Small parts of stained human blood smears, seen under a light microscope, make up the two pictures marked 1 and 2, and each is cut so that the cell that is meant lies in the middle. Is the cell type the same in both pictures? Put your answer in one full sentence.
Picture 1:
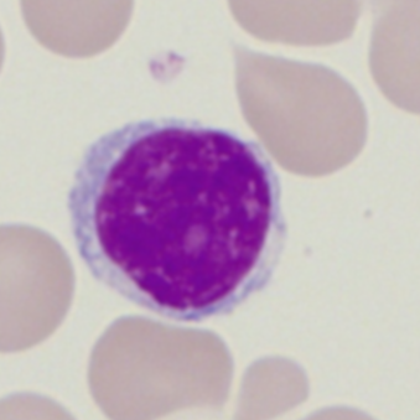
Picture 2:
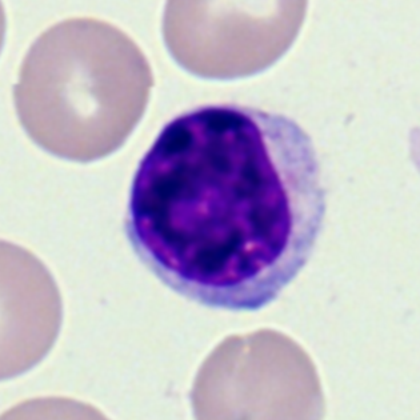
Yes, the two pictures both show lymphocytes.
